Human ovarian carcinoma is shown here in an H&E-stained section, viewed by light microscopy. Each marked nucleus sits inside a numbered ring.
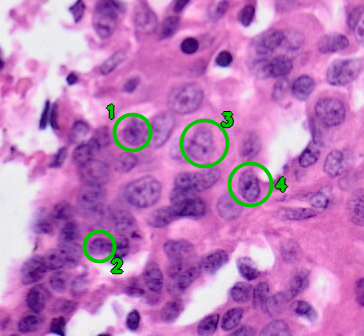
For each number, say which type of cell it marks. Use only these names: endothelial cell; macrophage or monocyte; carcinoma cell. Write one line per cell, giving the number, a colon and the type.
1: carcinoma cell
2: carcinoma cell
3: carcinoma cell
4: macrophage or monocyte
